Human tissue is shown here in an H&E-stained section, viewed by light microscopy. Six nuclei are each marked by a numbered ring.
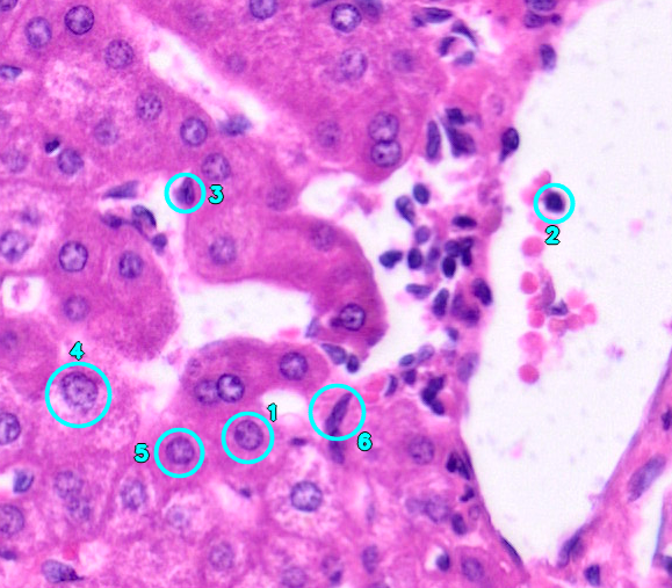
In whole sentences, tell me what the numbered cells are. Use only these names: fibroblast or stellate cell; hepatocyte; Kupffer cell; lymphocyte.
Cell 1 is a hepatocyte, cell 2 is a lymphocyte, cell 3 is a fibroblast or stellate cell, cell 4 is a hepatocyte, cell 5 is a hepatocyte and cell 6 is a fibroblast or stellate cell.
